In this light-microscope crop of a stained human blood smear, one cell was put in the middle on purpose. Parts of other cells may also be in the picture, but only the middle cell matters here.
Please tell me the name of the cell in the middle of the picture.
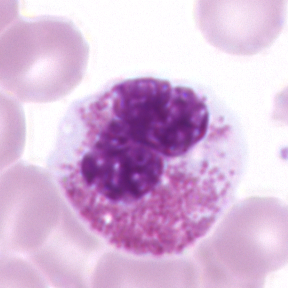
eosinophil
